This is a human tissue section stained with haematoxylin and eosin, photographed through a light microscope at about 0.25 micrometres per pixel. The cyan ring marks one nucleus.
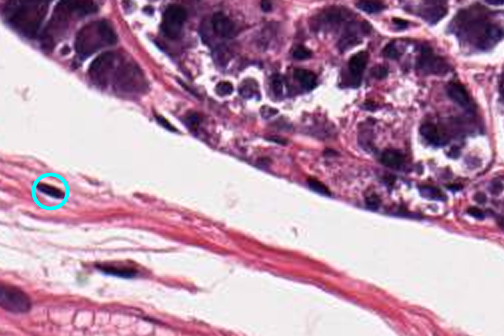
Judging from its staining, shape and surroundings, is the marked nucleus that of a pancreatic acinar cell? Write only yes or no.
no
